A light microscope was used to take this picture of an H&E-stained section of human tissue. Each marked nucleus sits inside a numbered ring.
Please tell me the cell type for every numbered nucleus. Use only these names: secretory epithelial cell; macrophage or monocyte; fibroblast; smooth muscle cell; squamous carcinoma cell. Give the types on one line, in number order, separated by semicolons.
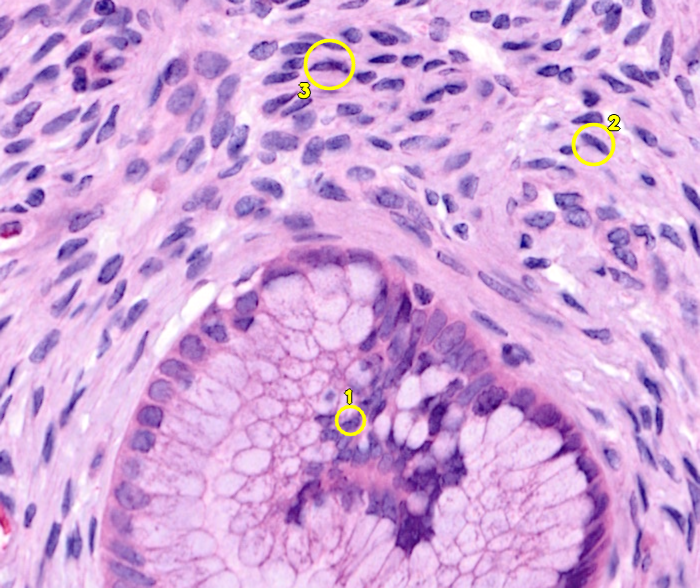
secretory epithelial cell; fibroblast; fibroblast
